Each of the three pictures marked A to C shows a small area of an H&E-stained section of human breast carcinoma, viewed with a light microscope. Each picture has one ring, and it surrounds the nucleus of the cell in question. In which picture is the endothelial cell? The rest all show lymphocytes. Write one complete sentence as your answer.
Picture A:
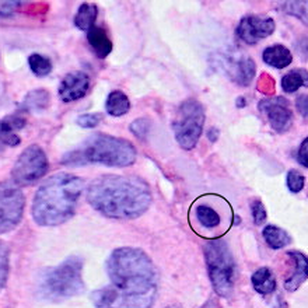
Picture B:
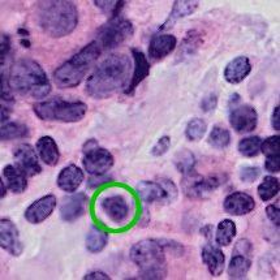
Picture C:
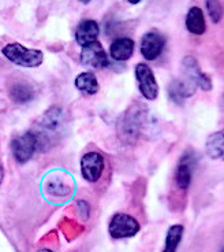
The endothelial cell is the one in picture C.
